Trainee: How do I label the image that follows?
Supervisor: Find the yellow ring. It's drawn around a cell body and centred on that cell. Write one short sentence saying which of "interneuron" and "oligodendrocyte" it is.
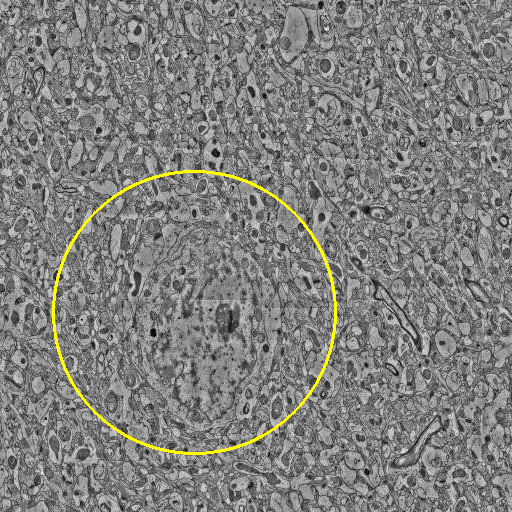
This is the cell body of an interneuron.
